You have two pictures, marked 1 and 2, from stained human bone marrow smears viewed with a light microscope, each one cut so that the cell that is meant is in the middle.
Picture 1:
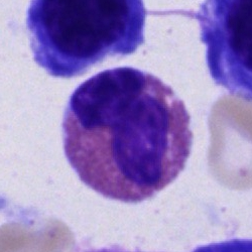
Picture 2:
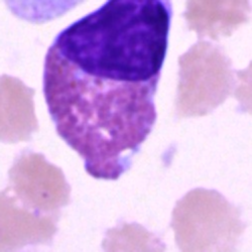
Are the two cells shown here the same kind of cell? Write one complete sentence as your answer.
Yes, both are eosinophils.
